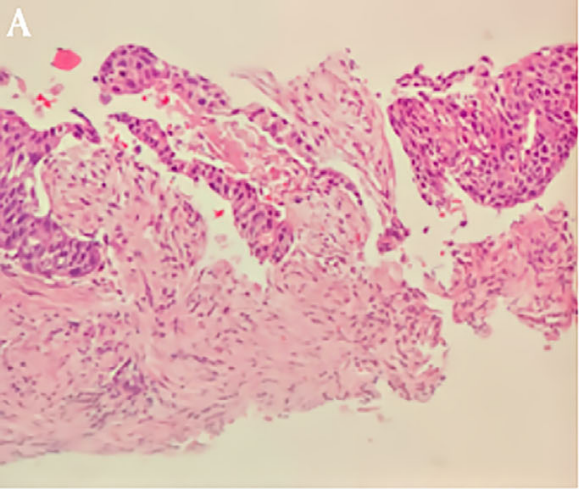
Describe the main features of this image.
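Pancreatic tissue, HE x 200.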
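Irregular nests and bands of crowded epithelial cells lie within a pale pink, spindle-celled fibrous stroma. The tumour cells have a fair amount of pink cytoplasm and large, rounded nuclei, and they are packed into solid, sheet-like groups rather than glands.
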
